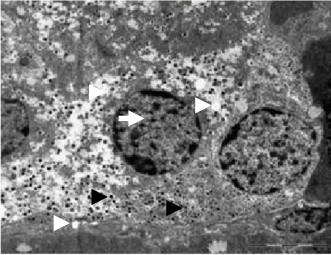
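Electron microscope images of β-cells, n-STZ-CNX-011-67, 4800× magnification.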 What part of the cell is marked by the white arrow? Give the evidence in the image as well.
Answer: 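The arrow points at a large round body with an envelope. Dark patches of chromatin fill the body. The answer: nucleus.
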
